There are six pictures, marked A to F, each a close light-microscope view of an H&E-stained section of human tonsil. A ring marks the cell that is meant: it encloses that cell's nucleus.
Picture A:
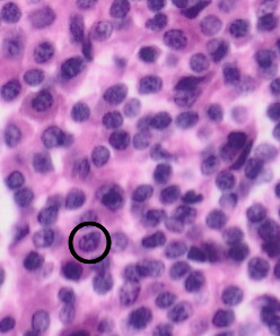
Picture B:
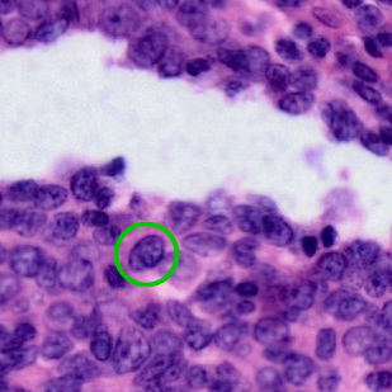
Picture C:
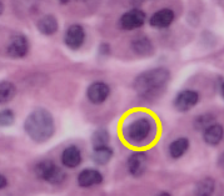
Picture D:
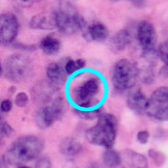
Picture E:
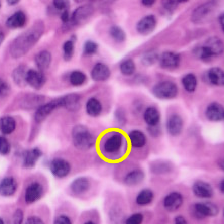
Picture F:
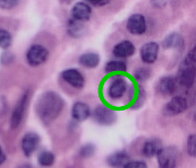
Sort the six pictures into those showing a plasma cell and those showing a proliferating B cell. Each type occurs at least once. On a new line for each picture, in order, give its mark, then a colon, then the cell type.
A: plasma cell
B: proliferating B cell
C: plasma cell
D: proliferating B cell
E: plasma cell
F: plasma cell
